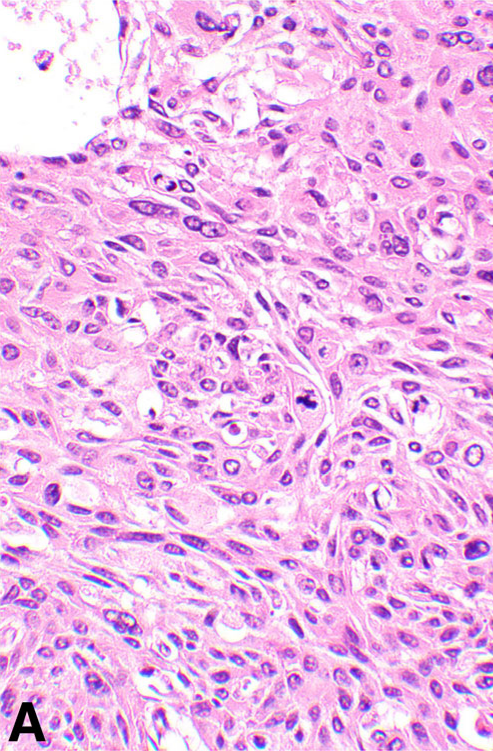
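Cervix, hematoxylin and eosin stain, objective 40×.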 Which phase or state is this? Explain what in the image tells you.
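A mitotic figure. Near the center lies a cell with dark, clumped chromatin and no intact nuclear outline. The clumped chromatin is much darker than the surrounding nuclei.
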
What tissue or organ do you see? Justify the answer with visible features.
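Crowded sheets of polygonal to spindle-shaped cells with ample pink cytoplasm. Nuclei are enlarged, irregular and variable in size, some with visible nucleoli. Cells lie closely packed with no glands formed. On this evidence: squamous cell carcinoma.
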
